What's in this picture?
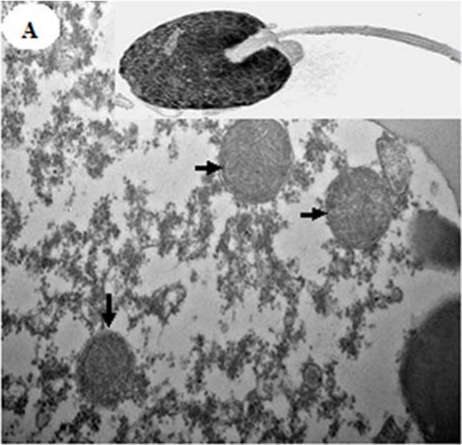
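This is the ultrastructure of a sperm cell, showing several rounded mitochondria scattered among loose, flocculent electron-dense material. The mitochondria are oval to round, bounded by a membrane and filled with fine internal cristae. The inset shows the whole sperm with a dark oval head and a long slender tail.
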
